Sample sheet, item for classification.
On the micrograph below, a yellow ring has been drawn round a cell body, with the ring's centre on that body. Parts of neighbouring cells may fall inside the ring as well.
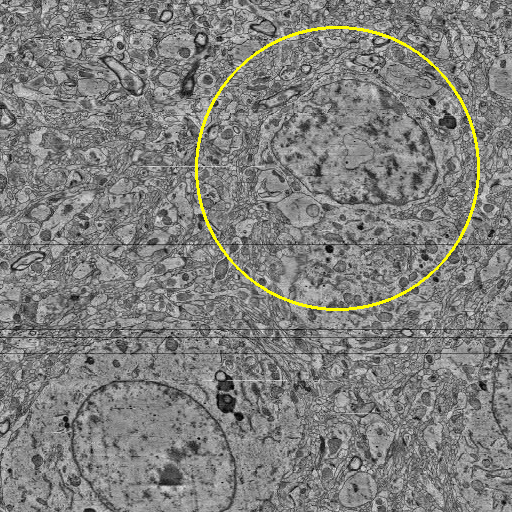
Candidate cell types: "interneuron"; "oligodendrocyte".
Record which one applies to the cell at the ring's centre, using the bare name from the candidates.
interneuron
